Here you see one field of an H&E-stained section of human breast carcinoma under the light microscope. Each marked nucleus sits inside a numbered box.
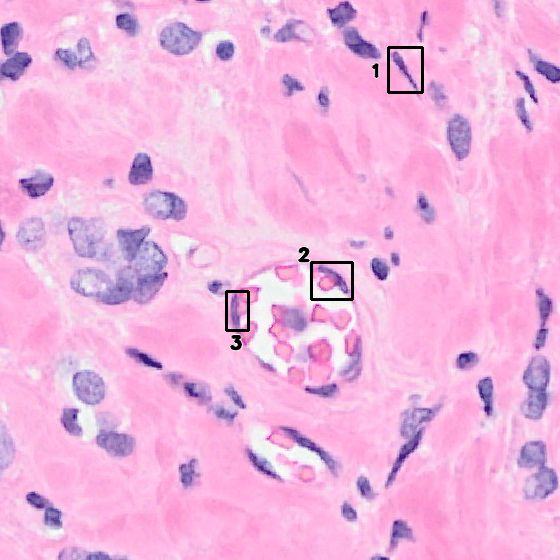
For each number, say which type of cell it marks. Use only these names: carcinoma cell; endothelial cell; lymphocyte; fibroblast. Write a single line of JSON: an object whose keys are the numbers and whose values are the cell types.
{"1": "fibroblast", "2": "endothelial cell", "3": "endothelial cell"}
